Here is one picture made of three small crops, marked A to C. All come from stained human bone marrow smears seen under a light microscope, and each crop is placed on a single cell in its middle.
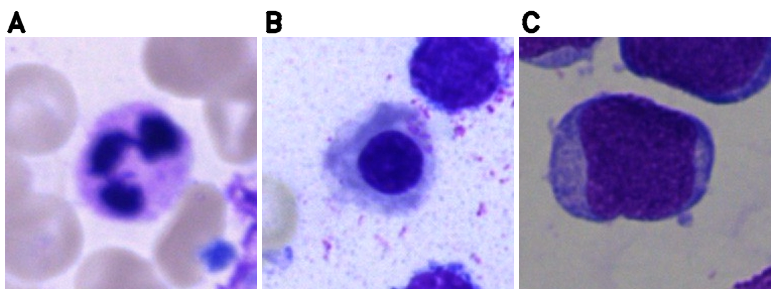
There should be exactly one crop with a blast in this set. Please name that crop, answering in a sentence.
Crop C is where a blast is shown.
